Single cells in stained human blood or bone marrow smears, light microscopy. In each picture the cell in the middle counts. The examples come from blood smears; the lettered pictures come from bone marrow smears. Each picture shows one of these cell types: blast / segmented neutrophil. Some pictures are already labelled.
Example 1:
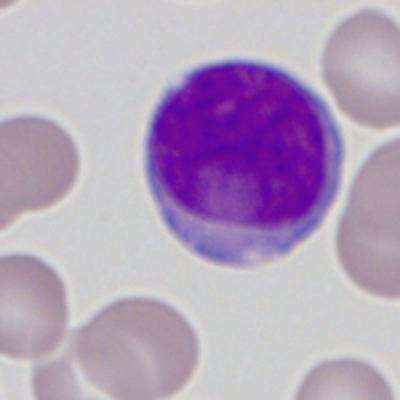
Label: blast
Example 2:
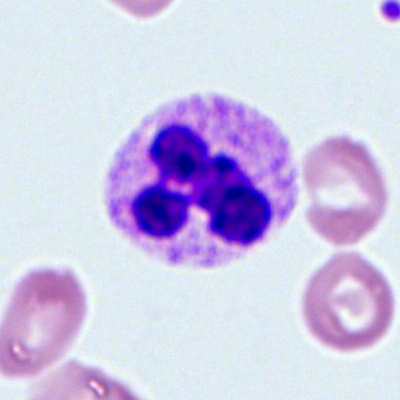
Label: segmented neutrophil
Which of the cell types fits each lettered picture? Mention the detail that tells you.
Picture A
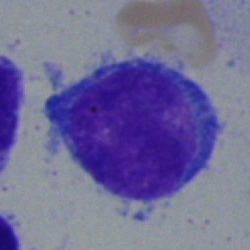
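Answer: blast. The cytoplasm forms only a thin rim around the nucleus.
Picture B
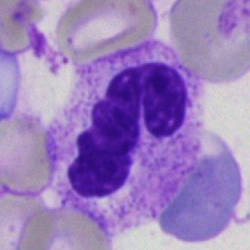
Answer: segmented neutrophil. The nucleus is a long, curved band bent into a hook shape, with several shallow constrictions along its left limb.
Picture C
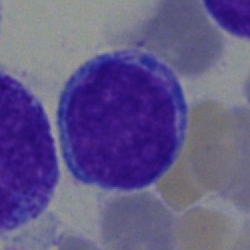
Answer: blast. The cytoplasm forms only a thin rim around the nucleus.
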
